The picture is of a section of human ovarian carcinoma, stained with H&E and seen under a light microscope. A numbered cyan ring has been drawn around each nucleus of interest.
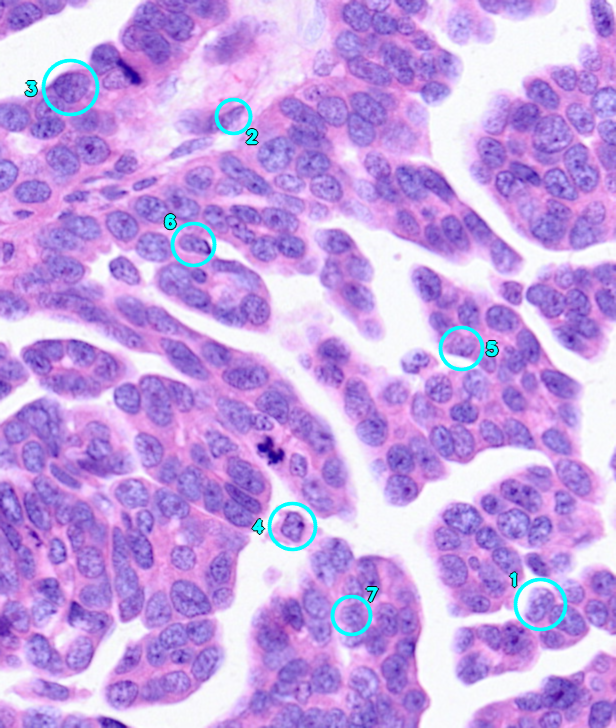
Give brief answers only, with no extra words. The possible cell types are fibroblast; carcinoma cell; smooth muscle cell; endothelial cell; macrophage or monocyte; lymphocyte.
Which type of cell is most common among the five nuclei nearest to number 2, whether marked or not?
fibroblast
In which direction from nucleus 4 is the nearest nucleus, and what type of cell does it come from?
a carcinoma cell, above and to the right of nucleus 4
